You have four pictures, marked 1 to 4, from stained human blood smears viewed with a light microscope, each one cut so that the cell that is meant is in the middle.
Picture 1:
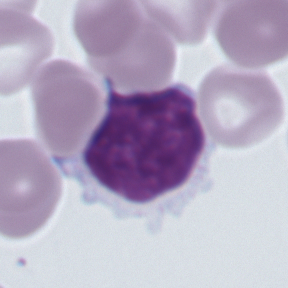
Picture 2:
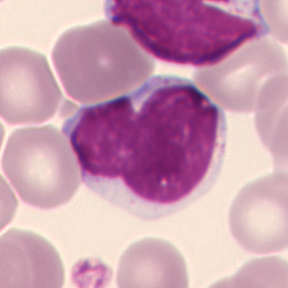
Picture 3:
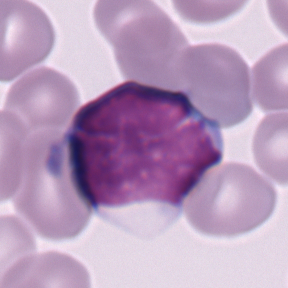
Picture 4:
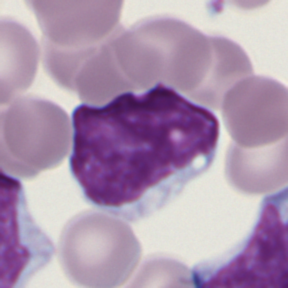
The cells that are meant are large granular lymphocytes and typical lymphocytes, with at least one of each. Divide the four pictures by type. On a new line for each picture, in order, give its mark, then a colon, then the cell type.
1: large granular lymphocyte
2: large granular lymphocyte
3: large granular lymphocyte
4: typical lymphocyte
